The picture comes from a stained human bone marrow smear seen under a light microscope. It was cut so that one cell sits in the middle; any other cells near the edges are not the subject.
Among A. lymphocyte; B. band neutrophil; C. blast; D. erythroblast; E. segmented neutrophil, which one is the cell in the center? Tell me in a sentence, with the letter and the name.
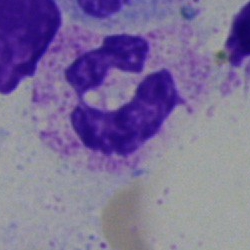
That cell in the center is a segmented neutrophil, hence option E.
